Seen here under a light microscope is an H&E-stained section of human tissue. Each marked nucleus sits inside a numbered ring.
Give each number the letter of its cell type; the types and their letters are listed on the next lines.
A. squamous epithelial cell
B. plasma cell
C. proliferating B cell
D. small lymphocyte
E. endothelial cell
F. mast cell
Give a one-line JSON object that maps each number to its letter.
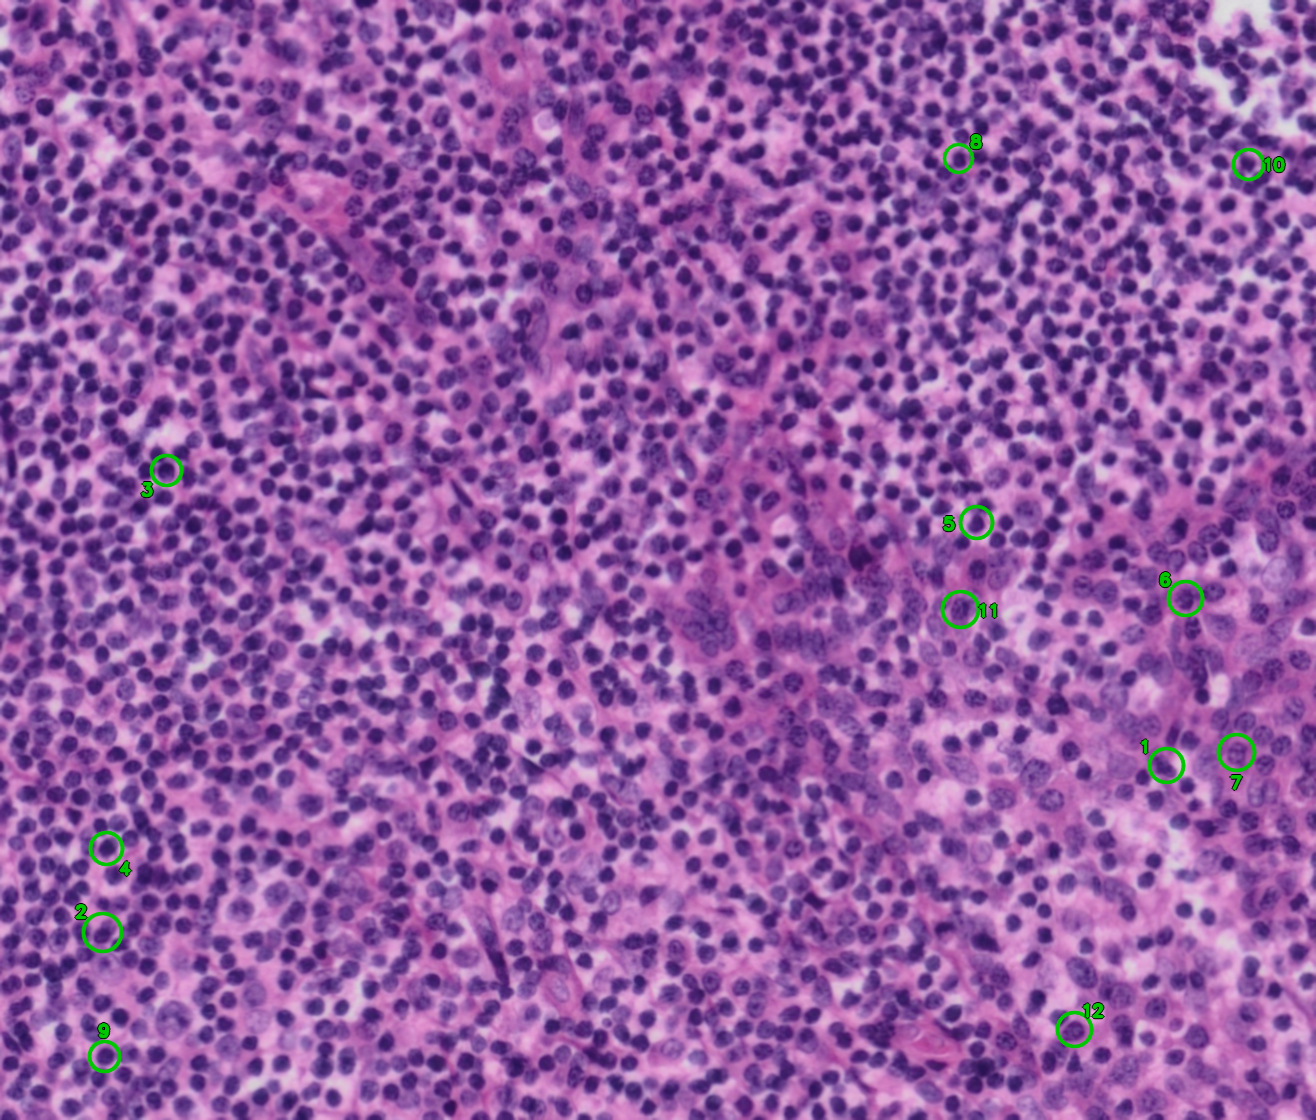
{"1": "A", "2": "D", "3": "D", "4": "D", "5": "D", "6": "B", "7": "B", "8": "D", "9": "D", "10": "D", "11": "B", "12": "B"}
